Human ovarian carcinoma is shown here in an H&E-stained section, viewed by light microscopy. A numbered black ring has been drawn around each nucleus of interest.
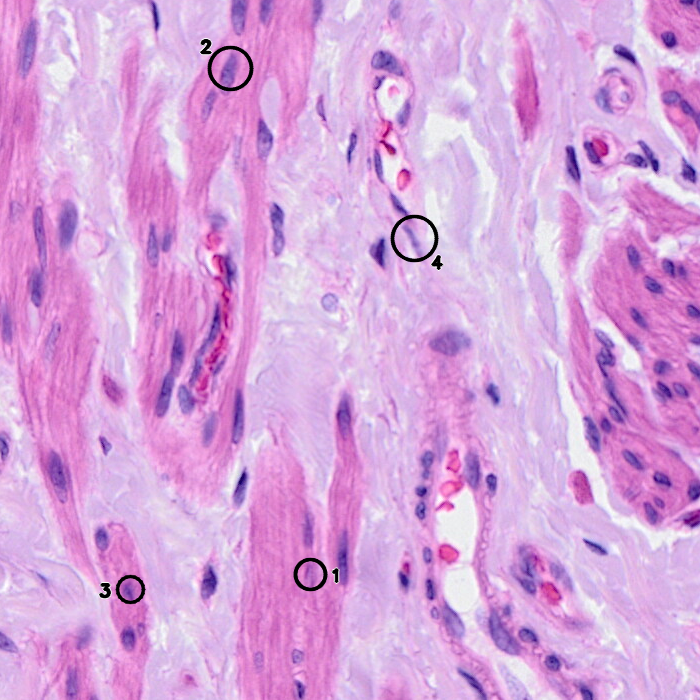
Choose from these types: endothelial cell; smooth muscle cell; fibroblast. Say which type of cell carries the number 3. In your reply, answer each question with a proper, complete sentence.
In the marked set, the cell given number 3 is a smooth muscle cell.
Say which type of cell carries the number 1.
The cell indicated by marker 1 is a smooth muscle cell in this section.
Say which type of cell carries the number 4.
Among the marked nuclei, number 4 belongs to a fibroblast.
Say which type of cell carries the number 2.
In the marked set, the cell given number 2 is a smooth muscle cell.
